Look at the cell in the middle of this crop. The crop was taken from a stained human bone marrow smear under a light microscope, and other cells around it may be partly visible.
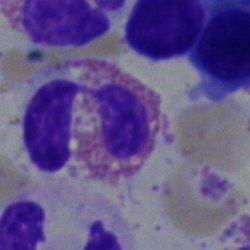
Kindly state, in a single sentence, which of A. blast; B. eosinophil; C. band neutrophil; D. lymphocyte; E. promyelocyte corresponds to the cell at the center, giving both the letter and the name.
Option B is correct in that the central cell is an eosinophil.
